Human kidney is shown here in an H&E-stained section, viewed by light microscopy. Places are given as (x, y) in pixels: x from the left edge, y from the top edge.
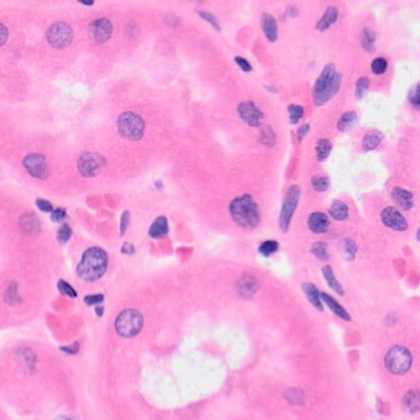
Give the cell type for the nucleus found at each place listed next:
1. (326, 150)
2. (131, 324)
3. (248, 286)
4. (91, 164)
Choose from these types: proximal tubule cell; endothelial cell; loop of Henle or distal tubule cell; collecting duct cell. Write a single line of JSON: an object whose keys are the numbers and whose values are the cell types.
{"1": "loop of Henle or distal tubule cell", "2": "proximal tubule cell", "3": "proximal tubule cell", "4": "proximal tubule cell"}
